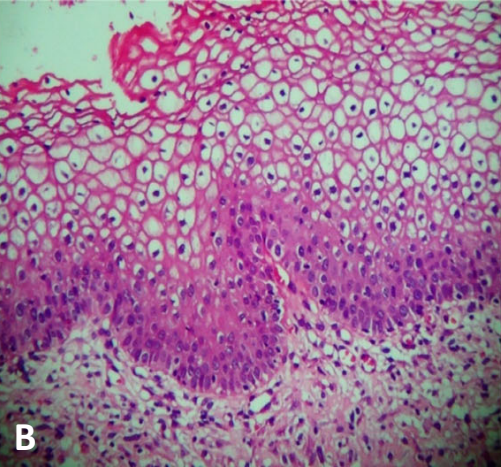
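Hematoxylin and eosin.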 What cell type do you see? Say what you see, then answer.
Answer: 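The upper half of the epithelium is made of large polygonal cells with clear, pale cytoplasm and small central nuclei. Flattened pink cells at the top surface are coming away from the epithelium. The answer: intermediate and shedding superficial cells.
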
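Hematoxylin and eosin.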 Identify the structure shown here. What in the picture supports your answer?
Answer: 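The boundary between epithelium and connective tissue is wavy. Tongues of connective tissue push up into the base of the epithelium. So: papillae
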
